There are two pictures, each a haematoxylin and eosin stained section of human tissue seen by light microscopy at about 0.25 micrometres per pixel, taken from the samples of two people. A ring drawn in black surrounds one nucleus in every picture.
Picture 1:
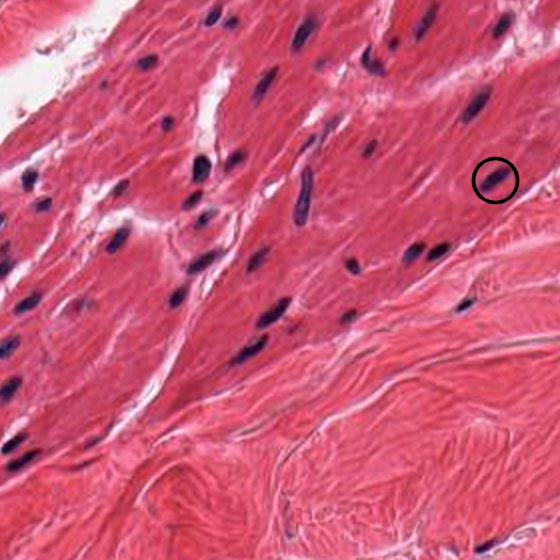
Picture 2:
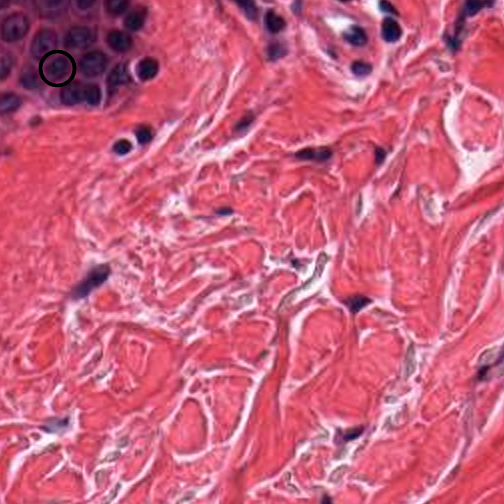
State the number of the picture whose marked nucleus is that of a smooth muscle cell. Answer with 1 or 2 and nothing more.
1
